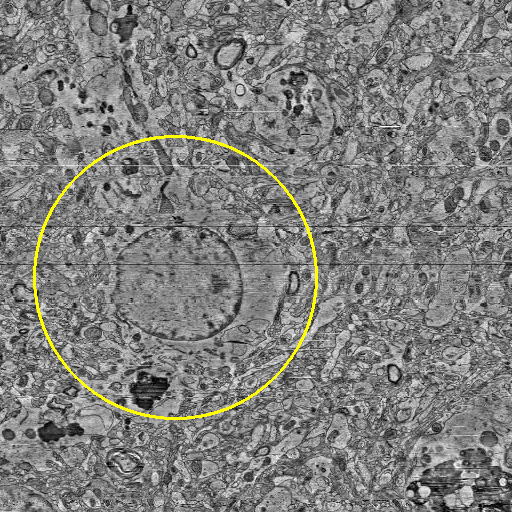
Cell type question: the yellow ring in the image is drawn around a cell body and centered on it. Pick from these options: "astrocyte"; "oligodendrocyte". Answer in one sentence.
The ringed cell at the center is an astrocyte.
